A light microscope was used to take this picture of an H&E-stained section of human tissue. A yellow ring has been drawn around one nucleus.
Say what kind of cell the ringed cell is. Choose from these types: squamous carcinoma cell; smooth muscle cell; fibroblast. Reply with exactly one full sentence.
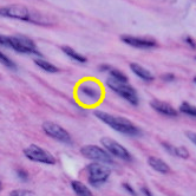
The expected answer is simply that the ringed cell is a smooth muscle cell.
